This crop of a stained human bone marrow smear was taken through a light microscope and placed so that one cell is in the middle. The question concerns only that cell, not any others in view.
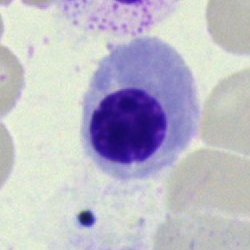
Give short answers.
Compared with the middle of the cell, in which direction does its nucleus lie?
lower left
